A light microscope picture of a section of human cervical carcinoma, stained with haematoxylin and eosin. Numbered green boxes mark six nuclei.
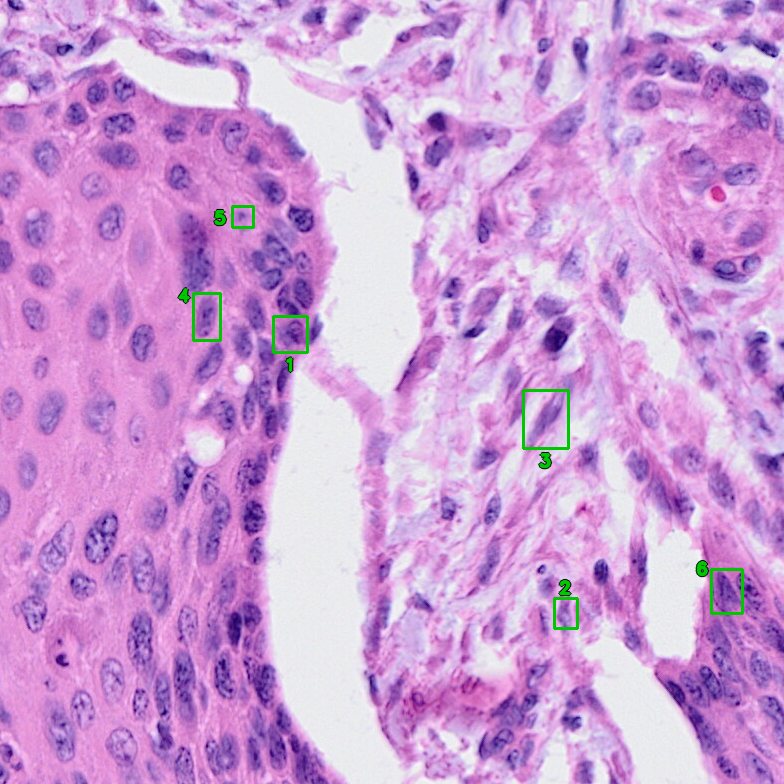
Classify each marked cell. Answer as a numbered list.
1. squamous carcinoma cell
2. fibroblast
3. fibroblast
4. squamous carcinoma cell
5. squamous carcinoma cell
6. squamous carcinoma cell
